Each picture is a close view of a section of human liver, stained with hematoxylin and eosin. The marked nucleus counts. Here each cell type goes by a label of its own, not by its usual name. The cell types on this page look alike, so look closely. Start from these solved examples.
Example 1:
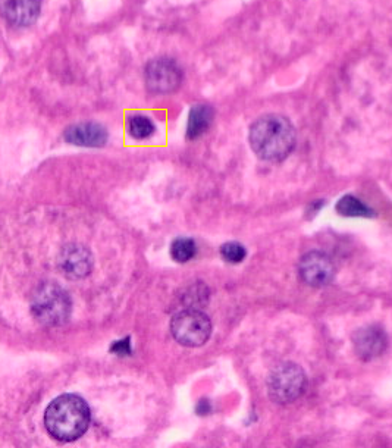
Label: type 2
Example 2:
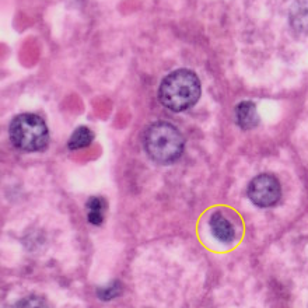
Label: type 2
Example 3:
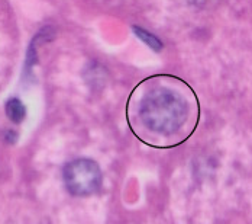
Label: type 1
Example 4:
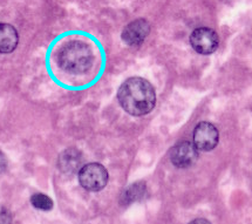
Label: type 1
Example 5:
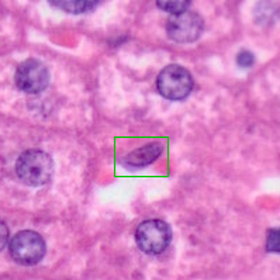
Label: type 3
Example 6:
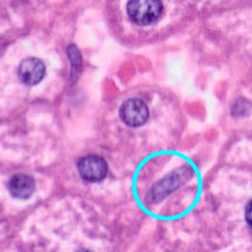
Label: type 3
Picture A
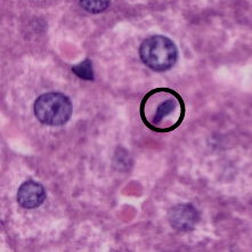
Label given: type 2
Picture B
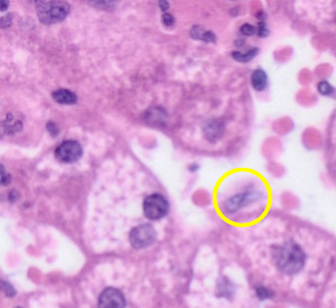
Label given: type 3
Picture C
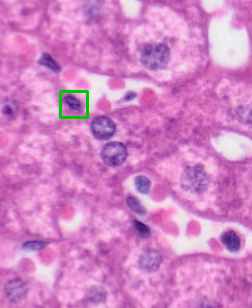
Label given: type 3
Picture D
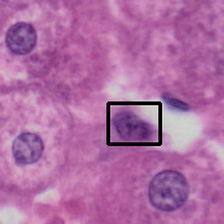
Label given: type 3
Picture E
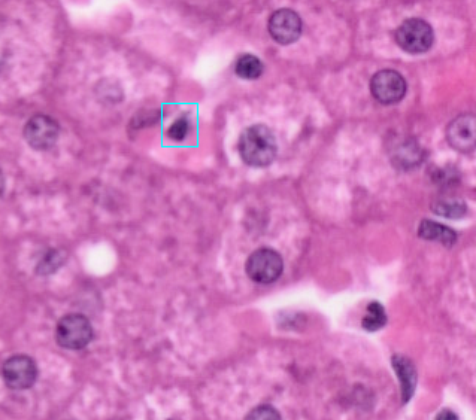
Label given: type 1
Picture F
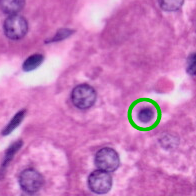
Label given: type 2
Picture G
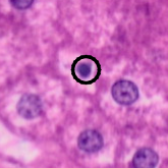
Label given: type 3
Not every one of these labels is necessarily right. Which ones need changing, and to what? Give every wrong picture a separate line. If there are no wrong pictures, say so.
E should be type 2, not type 1
G should be type 2, not type 3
